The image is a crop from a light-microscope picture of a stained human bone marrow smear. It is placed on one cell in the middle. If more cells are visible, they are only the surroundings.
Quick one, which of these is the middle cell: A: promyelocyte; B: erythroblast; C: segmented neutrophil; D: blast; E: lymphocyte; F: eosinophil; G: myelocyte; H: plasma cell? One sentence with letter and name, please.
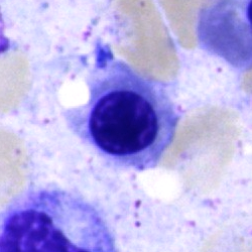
Option B correctly states that the central cell is an erythroblast.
